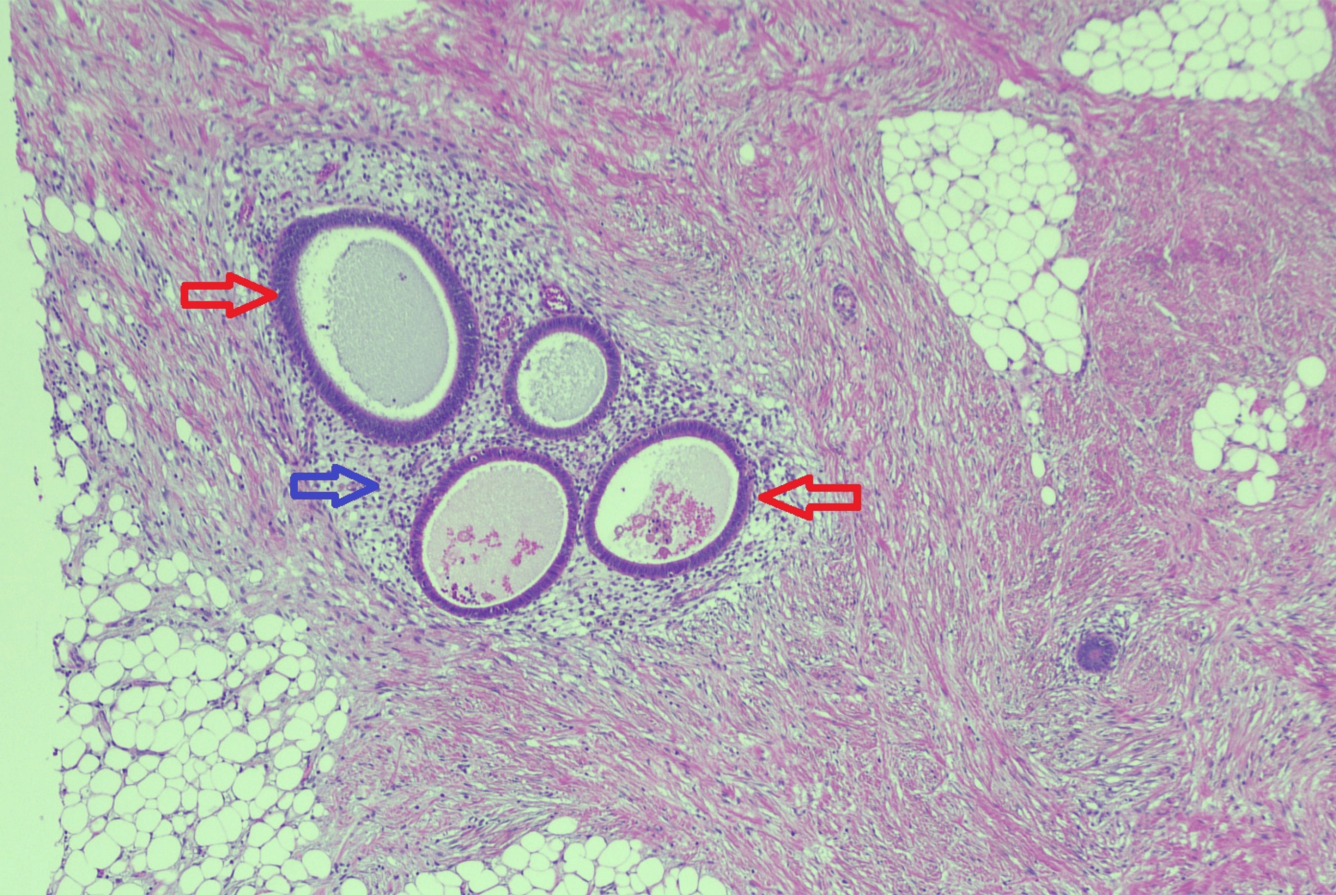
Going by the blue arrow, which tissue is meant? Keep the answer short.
Stroma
